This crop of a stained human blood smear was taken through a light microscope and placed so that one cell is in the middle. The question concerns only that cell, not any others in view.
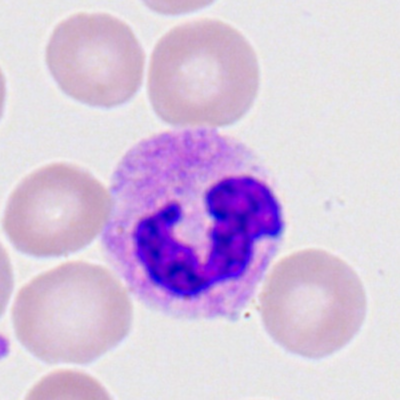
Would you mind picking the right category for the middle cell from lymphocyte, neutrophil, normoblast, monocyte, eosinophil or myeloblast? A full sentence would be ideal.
Of the cells in this crop, the central one is a neutrophil.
